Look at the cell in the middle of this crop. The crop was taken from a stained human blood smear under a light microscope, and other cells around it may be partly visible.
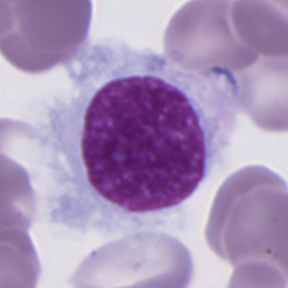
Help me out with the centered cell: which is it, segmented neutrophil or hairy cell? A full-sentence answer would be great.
In the central position of this crop, the cell is a hairy cell.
